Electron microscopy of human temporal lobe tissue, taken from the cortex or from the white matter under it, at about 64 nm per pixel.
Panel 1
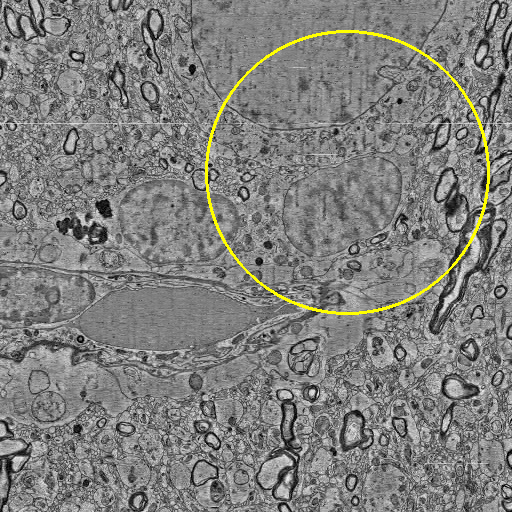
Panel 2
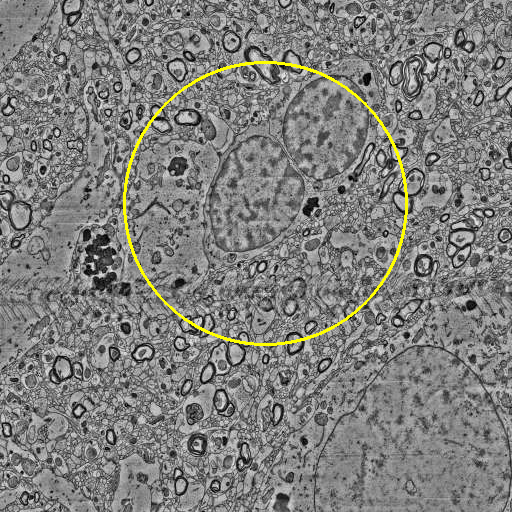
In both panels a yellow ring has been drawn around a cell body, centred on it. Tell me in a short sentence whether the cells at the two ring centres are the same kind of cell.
Yes, they are the same kind of cell.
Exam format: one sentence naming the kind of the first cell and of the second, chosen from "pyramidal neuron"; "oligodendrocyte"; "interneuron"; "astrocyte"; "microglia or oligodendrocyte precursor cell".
Each one of the two ringed cells is an oligodendrocyte.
